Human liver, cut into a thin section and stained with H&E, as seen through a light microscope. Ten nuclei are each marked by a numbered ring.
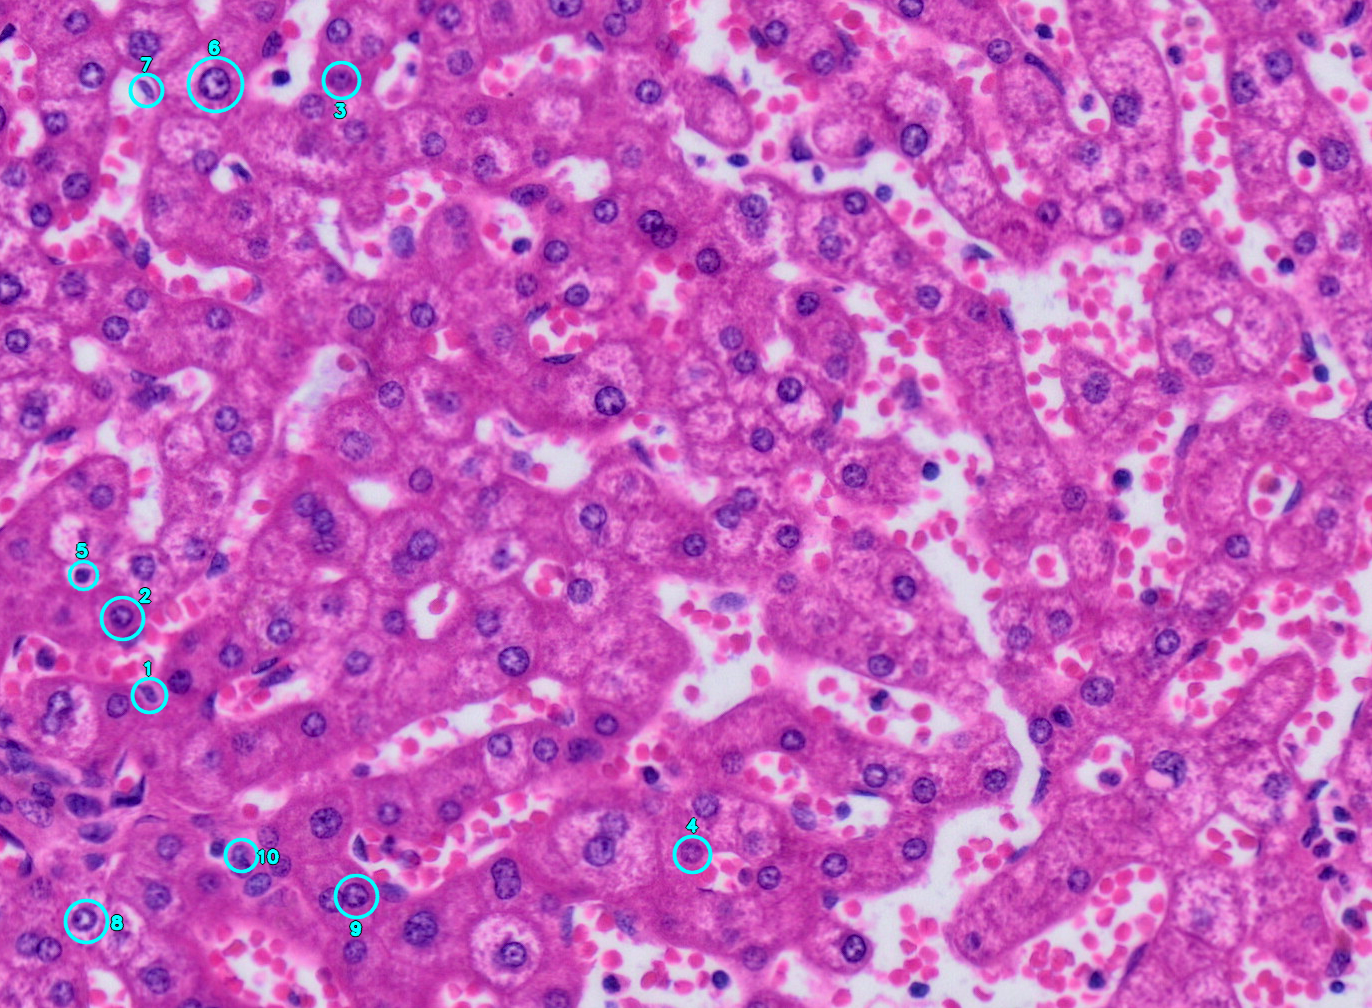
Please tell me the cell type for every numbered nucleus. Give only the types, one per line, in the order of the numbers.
fibroblast or stellate cell
hepatocyte
hepatocyte
hepatocyte
lymphocyte
hepatocyte
endothelial cell
hepatocyte
hepatocyte
cholangiocyte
